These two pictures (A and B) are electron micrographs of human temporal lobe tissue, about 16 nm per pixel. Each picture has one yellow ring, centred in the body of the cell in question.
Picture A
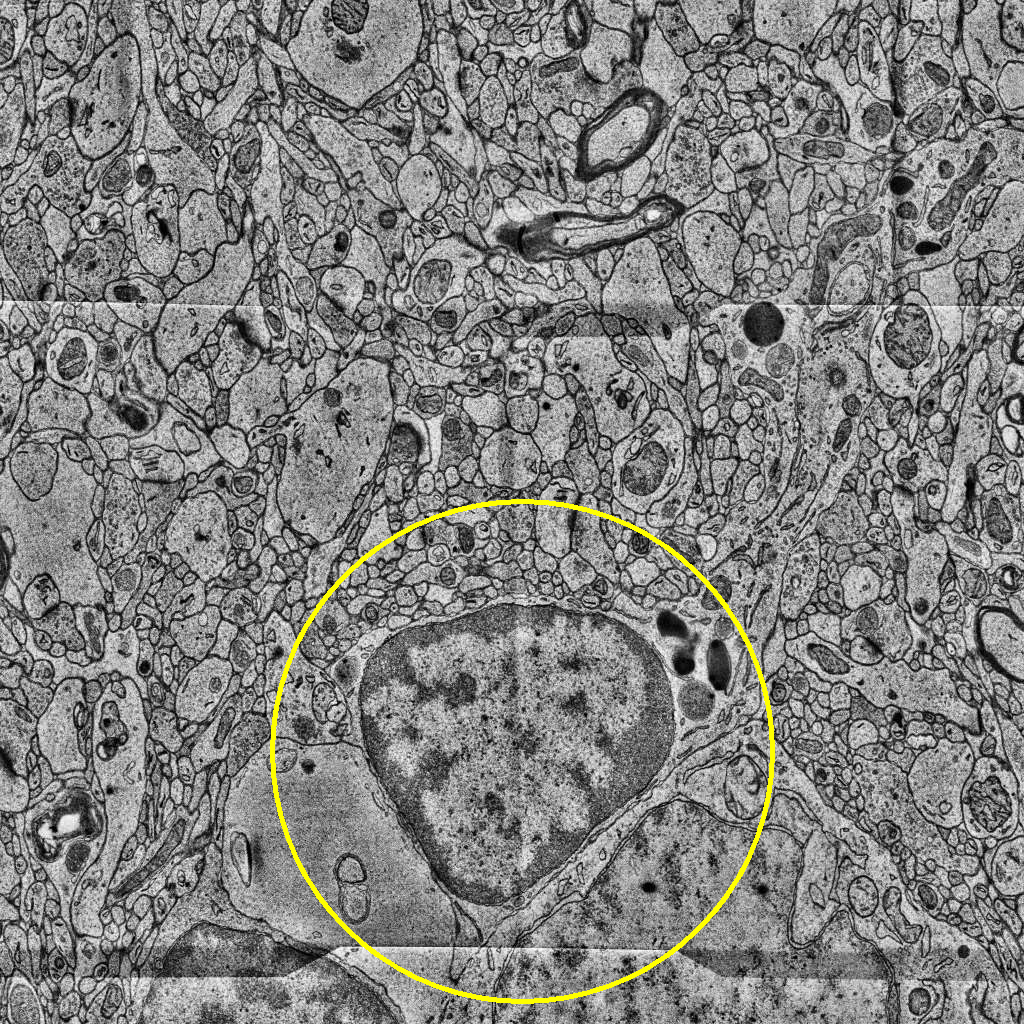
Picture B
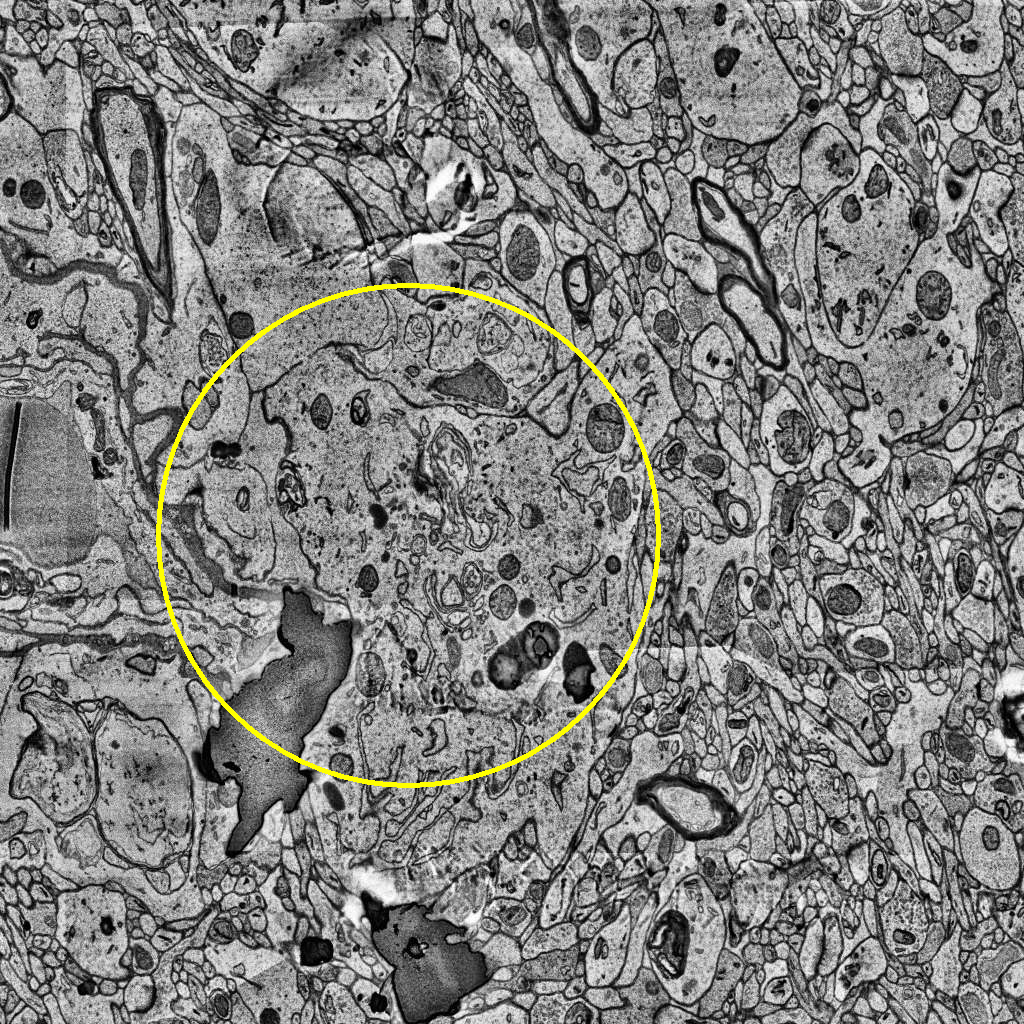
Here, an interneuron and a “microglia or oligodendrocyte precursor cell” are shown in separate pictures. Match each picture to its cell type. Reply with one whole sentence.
It is picture A that shows a “microglia or oligodendrocyte precursor cell”, and picture B that shows an interneuron.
